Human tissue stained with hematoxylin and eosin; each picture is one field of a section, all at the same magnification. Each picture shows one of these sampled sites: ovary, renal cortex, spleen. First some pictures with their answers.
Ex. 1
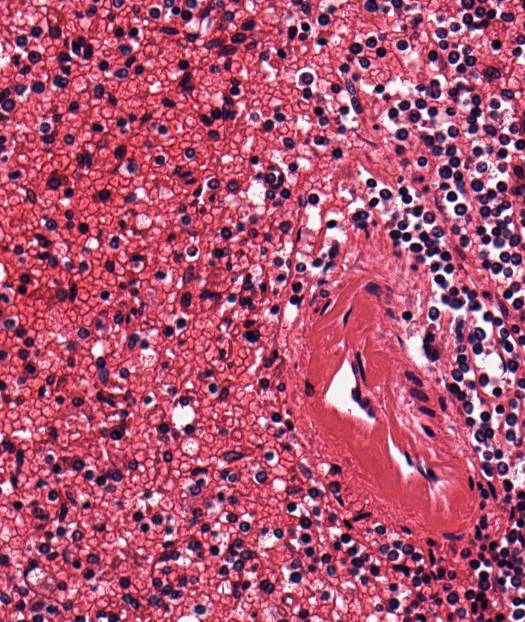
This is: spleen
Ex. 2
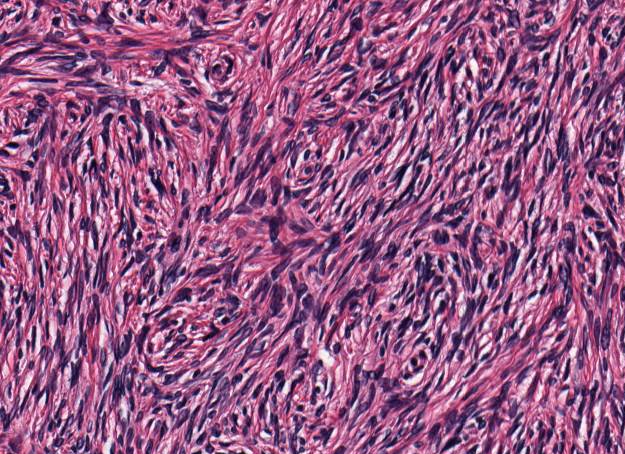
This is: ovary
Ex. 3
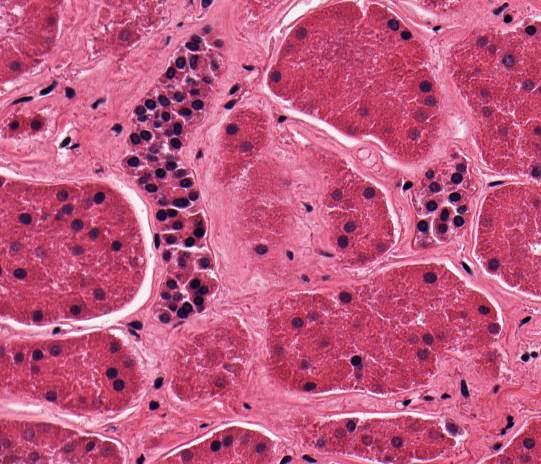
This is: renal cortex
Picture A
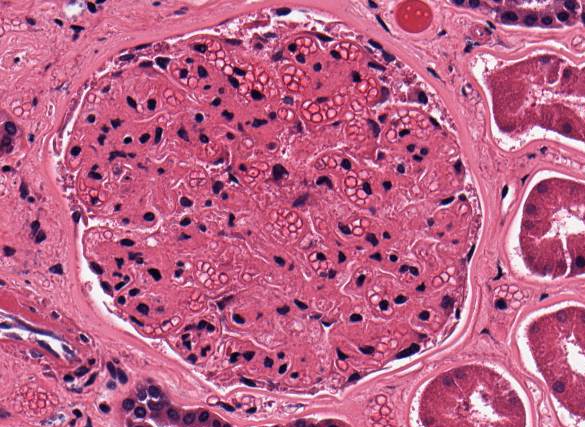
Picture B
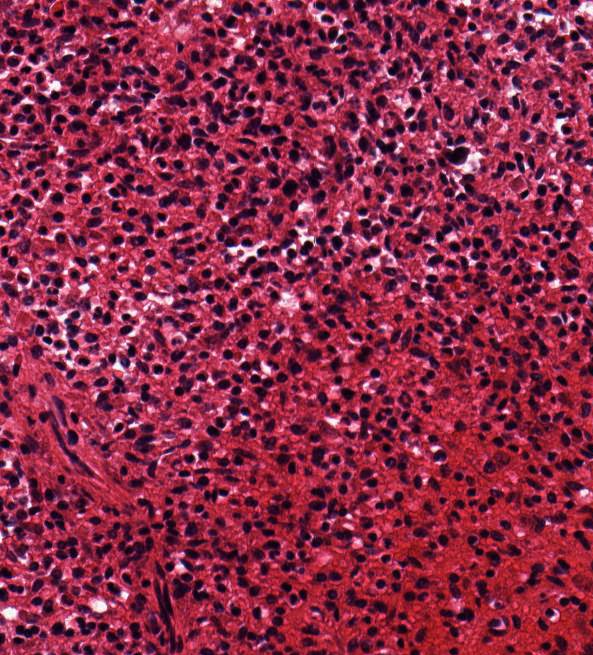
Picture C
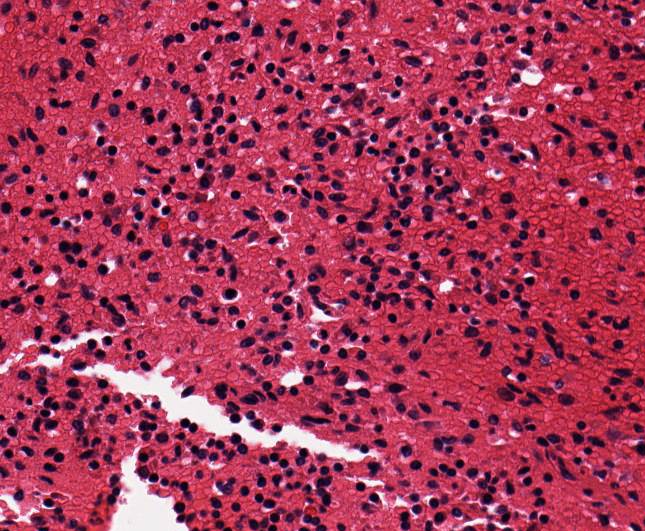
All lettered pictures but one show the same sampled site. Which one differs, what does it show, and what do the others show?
A: renal cortex; all the others: spleen.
